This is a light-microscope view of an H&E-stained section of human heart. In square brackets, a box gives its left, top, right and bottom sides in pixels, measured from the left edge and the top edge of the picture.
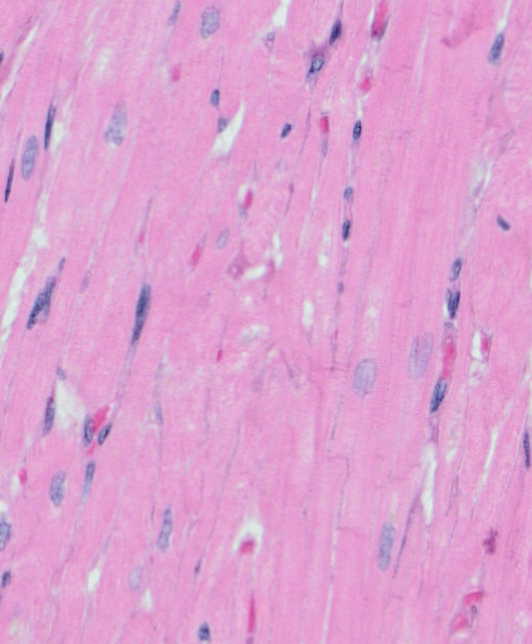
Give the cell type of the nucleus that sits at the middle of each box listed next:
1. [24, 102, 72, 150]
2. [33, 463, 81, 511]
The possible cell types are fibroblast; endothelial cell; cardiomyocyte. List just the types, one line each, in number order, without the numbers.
endothelial cell
cardiomyocyte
